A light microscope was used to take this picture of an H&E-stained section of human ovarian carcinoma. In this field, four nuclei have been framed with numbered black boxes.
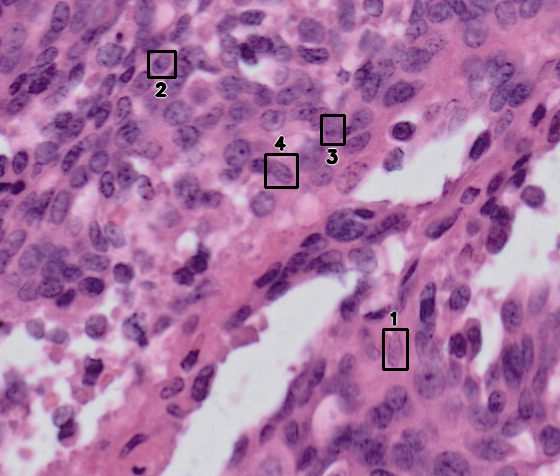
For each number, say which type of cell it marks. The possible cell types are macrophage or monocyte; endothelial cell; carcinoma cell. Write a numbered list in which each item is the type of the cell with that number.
1. endothelial cell
2. macrophage or monocyte
3. carcinoma cell
4. carcinoma cell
